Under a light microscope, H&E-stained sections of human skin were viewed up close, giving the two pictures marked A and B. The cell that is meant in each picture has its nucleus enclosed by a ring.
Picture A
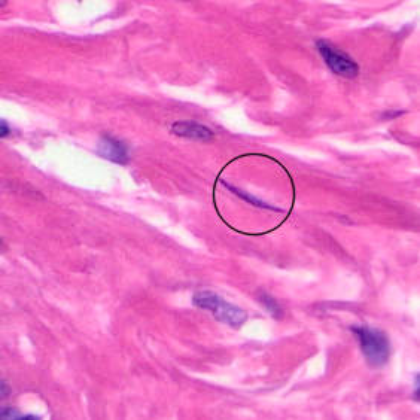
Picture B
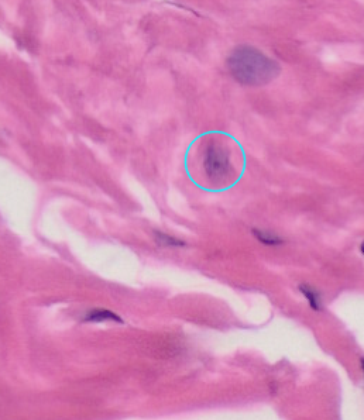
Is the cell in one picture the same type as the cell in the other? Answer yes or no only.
yes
